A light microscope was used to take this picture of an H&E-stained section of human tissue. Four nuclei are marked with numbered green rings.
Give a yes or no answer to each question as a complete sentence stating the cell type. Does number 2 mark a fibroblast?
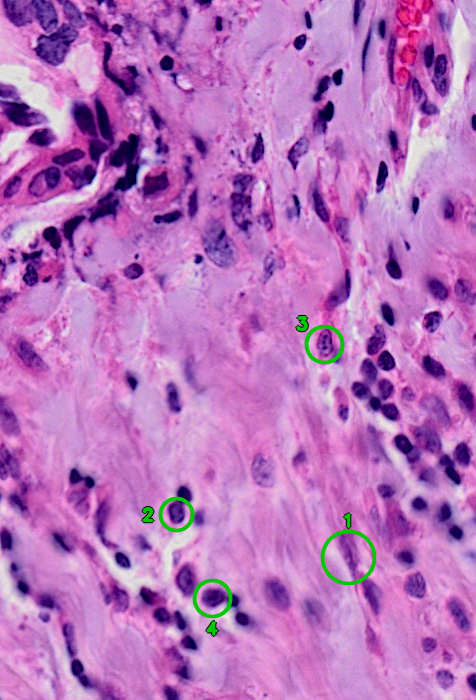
No, the correct answer for cell 2 is a lymphocyte, not a fibroblast.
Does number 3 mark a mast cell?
Yes, that is correct: the cell numbered 3 is a mast cell.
